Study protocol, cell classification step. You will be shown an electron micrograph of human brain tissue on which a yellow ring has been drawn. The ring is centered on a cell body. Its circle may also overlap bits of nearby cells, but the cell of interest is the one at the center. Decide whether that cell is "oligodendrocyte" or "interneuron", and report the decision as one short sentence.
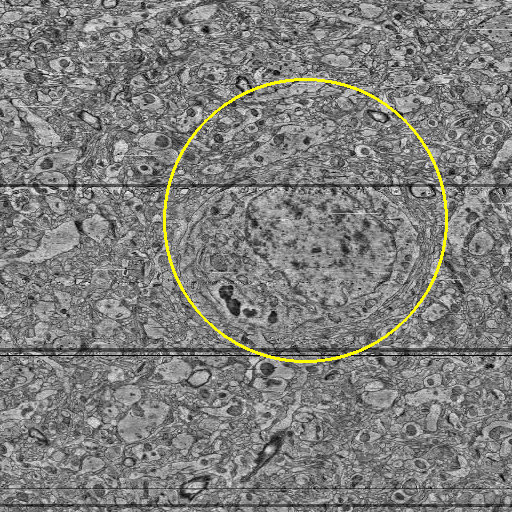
The marked cell is an interneuron.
